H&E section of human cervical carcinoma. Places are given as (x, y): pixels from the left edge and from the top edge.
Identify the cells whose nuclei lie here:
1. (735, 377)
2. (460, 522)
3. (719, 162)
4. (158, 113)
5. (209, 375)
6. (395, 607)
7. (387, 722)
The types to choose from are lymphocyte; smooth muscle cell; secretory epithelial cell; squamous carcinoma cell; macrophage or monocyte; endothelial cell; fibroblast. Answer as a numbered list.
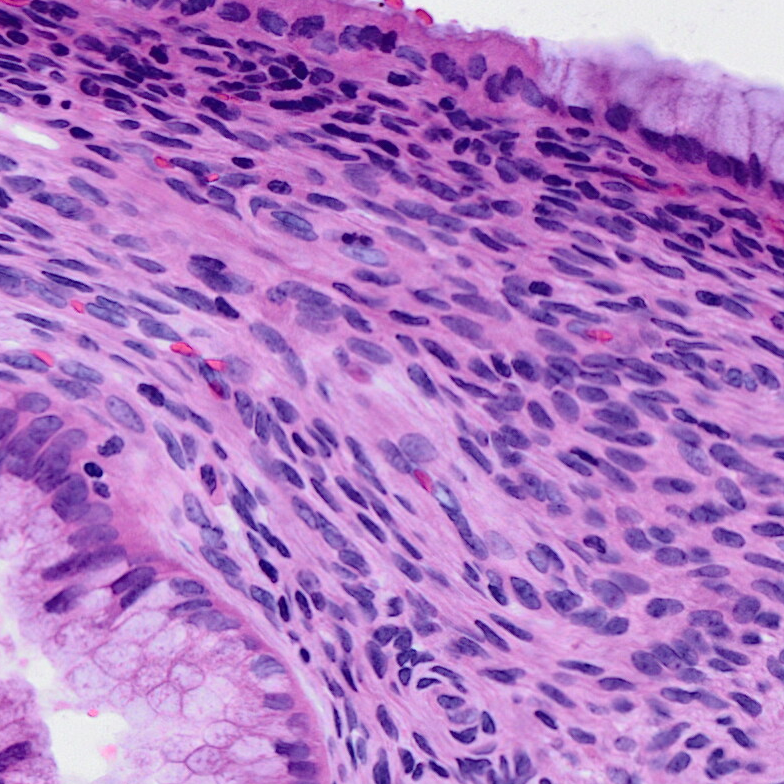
1. endothelial cell
2. endothelial cell
3. secretory epithelial cell
4. fibroblast
5. endothelial cell
6. fibroblast
7. fibroblast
